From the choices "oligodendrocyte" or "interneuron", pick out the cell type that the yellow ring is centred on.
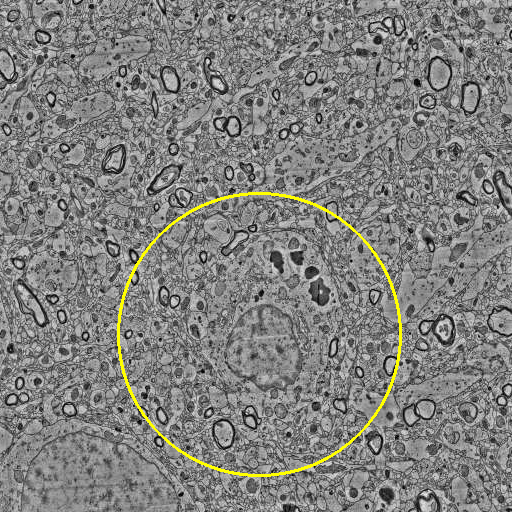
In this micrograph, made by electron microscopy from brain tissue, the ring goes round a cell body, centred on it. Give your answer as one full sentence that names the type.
The yellow ring is centred on an interneuron, whose cell body it encircles in the picture.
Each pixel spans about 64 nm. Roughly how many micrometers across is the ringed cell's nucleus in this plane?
In this plane, the nucleus of the cell at the centre of the ring is about 5 micrometres across.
